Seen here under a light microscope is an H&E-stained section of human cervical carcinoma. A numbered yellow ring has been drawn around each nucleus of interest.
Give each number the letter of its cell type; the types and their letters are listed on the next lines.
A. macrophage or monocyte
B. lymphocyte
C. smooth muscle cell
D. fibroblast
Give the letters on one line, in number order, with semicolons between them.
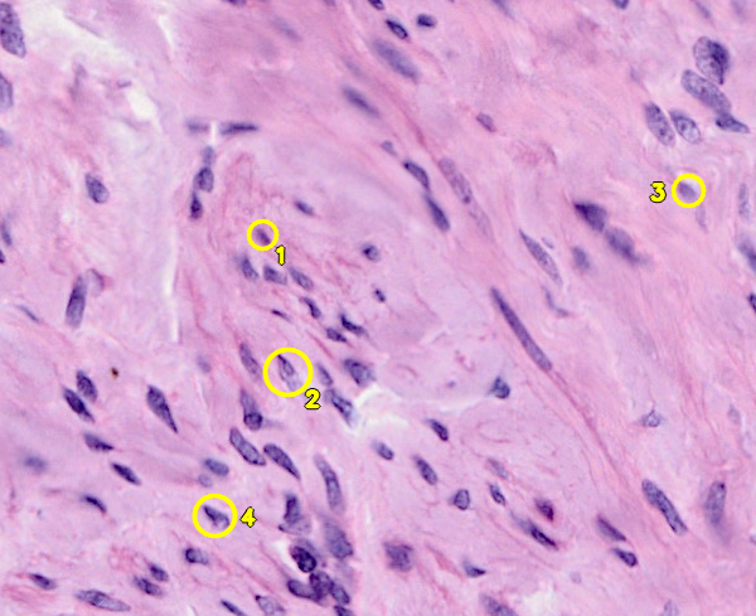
C; D; D; D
